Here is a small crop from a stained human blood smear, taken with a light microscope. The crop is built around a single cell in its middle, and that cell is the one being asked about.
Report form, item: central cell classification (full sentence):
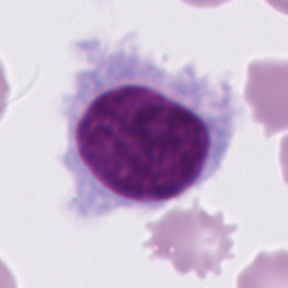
The middle of this crop is occupied by a hairy cell.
